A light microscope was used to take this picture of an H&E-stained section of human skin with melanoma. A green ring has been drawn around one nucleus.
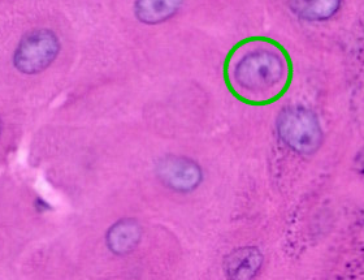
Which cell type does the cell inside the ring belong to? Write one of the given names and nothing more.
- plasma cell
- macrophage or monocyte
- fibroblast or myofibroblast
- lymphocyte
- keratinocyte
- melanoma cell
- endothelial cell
keratinocyte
